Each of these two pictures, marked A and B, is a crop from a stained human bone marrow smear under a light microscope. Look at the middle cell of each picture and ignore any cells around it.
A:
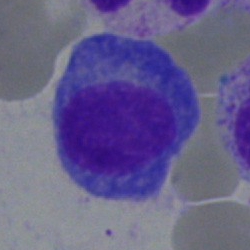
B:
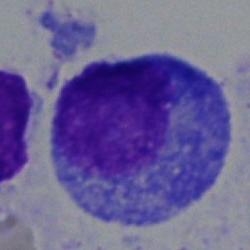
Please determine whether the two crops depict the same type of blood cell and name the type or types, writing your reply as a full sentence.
Yes, the cells placed at the centre of both crops are plasma cells.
